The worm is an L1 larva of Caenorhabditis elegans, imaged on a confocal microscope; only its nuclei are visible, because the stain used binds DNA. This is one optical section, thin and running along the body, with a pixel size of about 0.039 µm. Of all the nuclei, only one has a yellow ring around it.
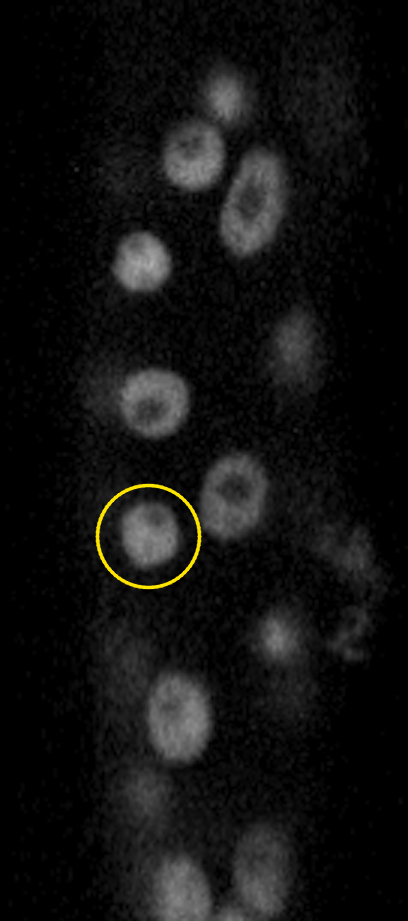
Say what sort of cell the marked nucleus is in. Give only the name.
P cell (ventral epidermal blast cell)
